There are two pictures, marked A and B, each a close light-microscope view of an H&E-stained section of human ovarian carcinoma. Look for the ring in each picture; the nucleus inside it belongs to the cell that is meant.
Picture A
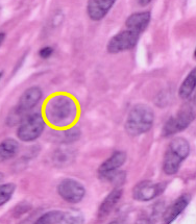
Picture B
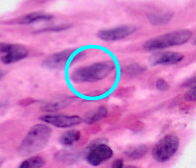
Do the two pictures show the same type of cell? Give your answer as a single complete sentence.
No; the cell in picture A is a carcinoma cell, while the one in picture B is a fibroblast.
